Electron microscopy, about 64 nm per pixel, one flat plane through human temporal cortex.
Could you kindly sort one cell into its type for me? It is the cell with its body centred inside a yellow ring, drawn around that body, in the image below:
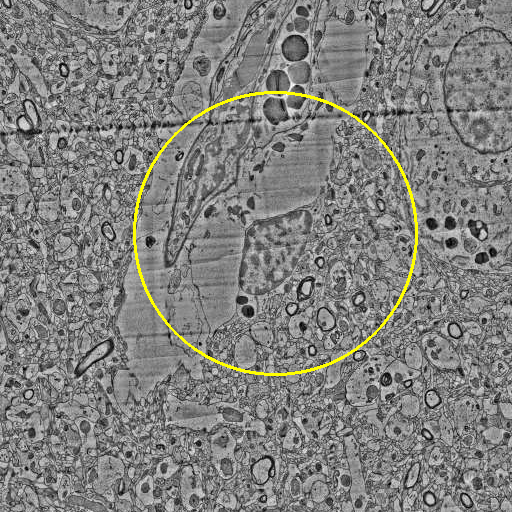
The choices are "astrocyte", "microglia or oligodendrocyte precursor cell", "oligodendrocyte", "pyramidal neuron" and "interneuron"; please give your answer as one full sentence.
The cell whose body lies centred in the yellow ring here is a microglial cell or oligodendrocyte precursor cell.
